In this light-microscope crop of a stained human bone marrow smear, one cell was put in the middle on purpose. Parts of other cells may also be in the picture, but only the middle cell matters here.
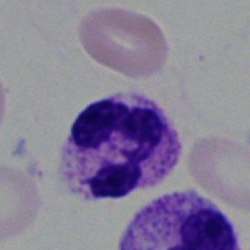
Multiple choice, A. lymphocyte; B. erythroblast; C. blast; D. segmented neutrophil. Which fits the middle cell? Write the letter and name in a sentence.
What option D states is correct, the central cell being a segmented neutrophil.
